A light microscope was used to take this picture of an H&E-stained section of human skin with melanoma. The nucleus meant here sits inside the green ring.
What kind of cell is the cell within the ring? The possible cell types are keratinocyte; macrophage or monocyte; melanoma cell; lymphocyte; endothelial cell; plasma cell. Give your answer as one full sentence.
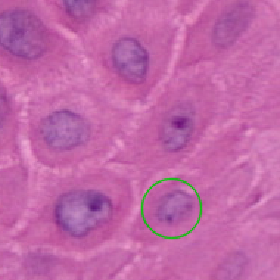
As far as its identity is concerned, the cell within the ring is a keratinocyte.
